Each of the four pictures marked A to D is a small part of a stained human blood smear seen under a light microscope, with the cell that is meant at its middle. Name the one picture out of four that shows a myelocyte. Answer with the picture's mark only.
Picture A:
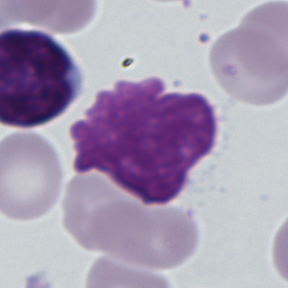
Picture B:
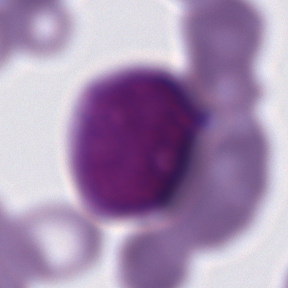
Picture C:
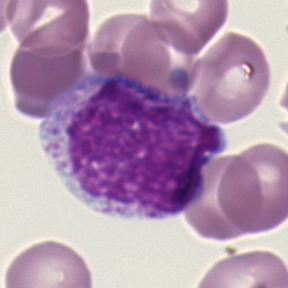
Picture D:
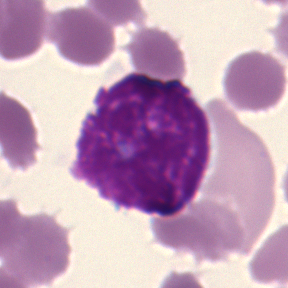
C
